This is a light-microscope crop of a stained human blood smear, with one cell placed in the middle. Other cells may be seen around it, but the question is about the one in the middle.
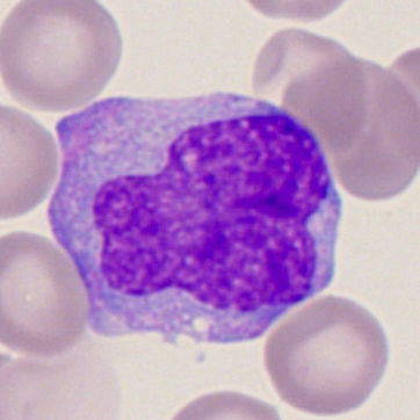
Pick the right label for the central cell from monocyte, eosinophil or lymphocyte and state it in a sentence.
The cell shown in the center of this light-microscope crop is a monocyte.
